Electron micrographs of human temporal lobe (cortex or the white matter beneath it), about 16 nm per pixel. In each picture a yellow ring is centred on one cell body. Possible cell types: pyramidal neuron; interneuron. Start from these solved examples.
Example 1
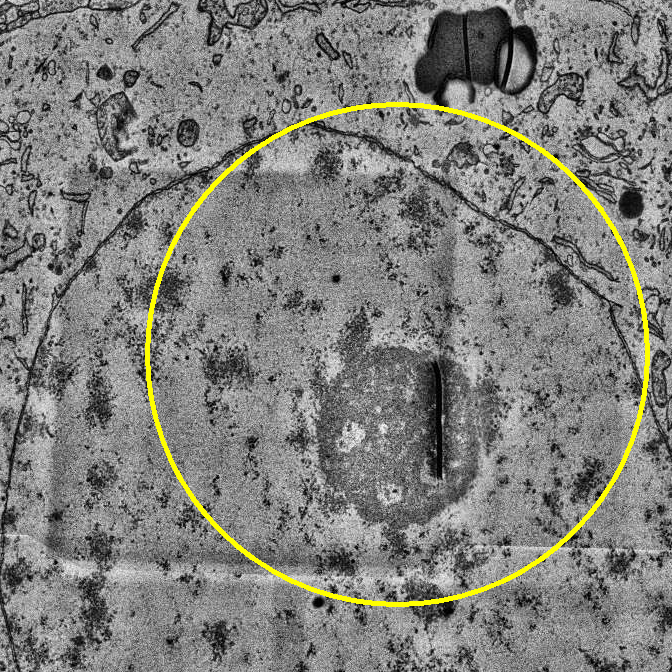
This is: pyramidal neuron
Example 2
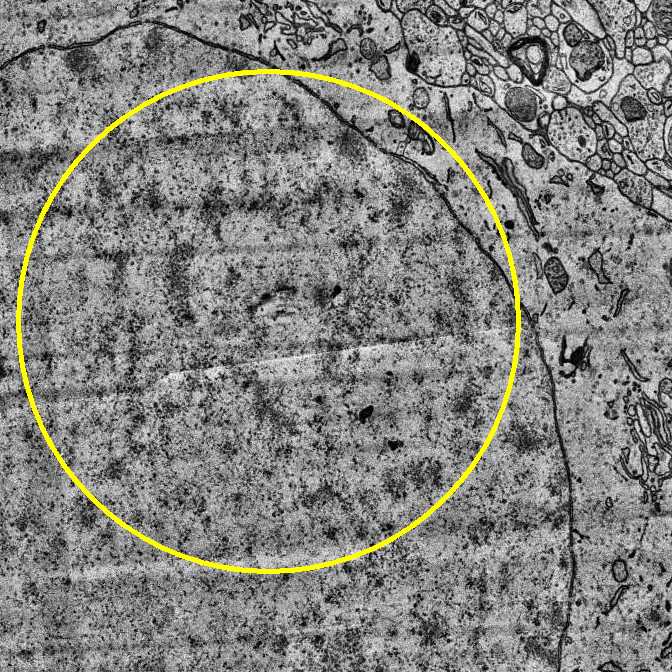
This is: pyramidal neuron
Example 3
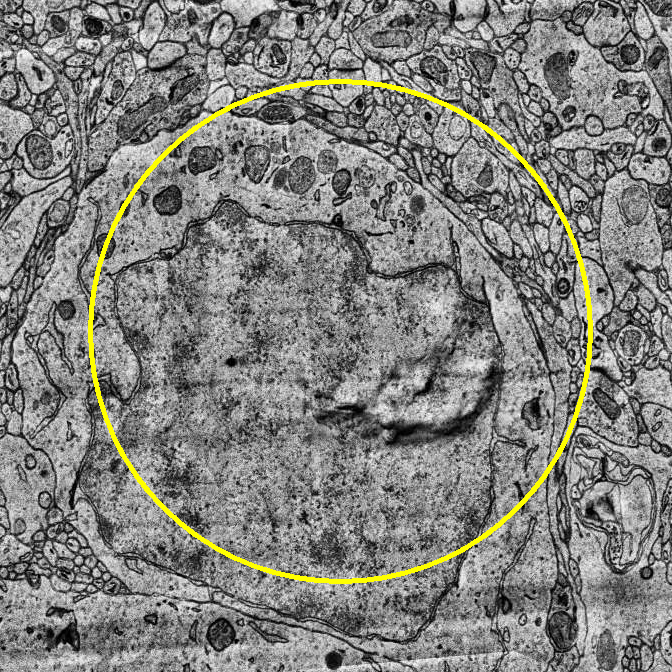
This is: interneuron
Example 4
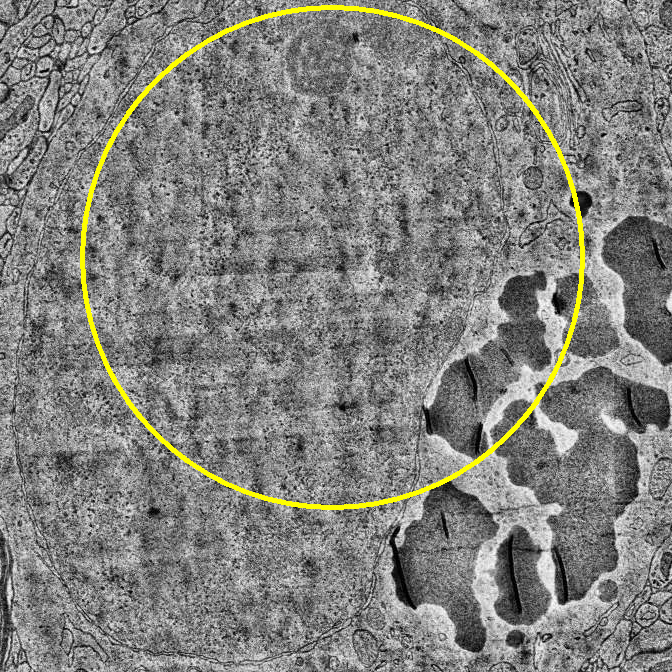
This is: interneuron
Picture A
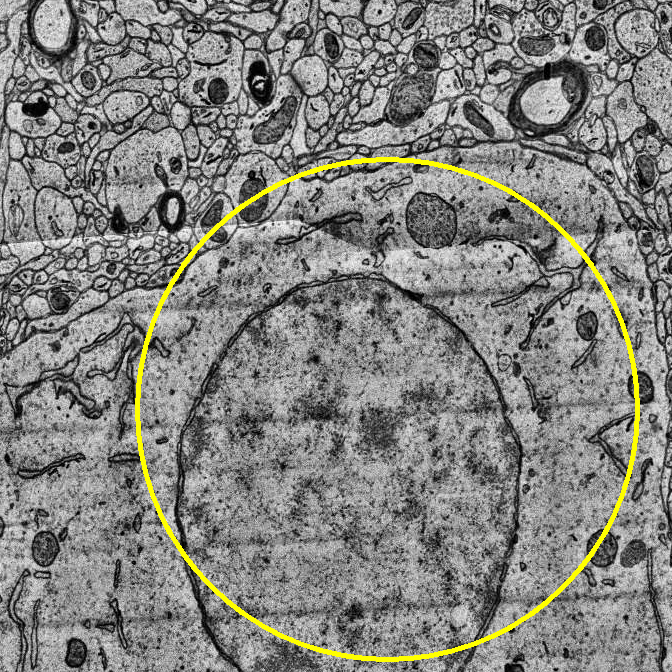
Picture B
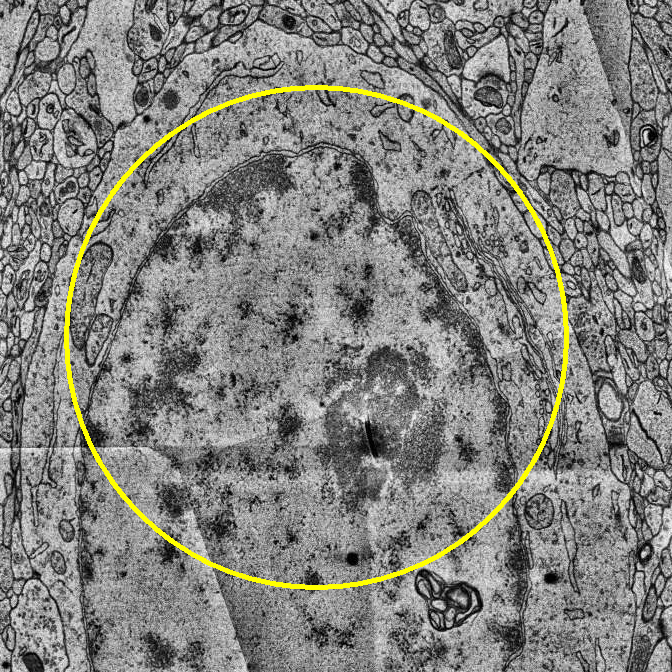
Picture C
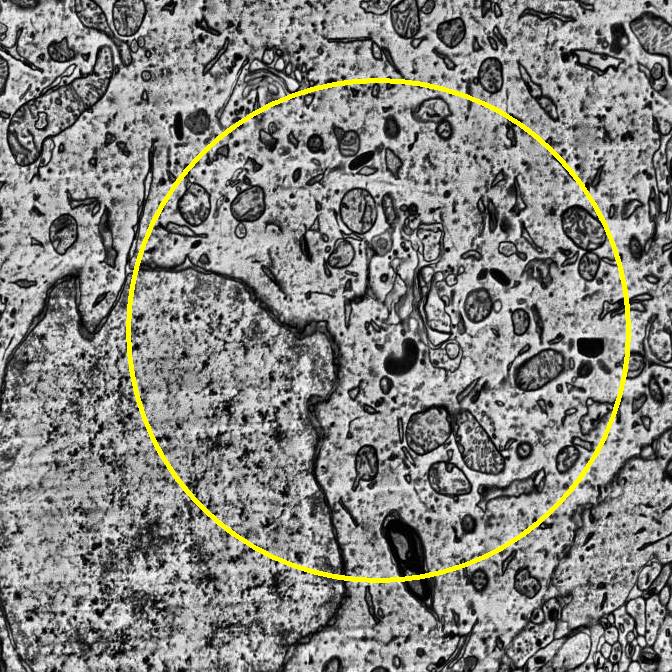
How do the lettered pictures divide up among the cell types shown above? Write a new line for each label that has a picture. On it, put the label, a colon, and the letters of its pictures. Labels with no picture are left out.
pyramidal neuron: A
interneuron: B, C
